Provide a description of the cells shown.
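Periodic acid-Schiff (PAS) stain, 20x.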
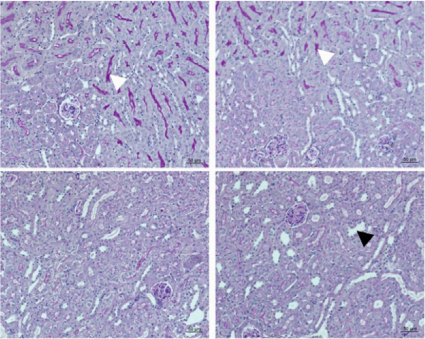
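Four fields of kidney tissue with closely packed tubules and scattered round glomeruli. In the lower two fields the tubules look paler, the magenta luminal bands are largely absent, and many tubules have widened, empty-looking lumens, giving a more open, lacy pattern; some tubules are clearly dilated. Glomeruli appear as rounded tufts within clear capsular spaces in both rows.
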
